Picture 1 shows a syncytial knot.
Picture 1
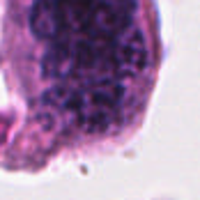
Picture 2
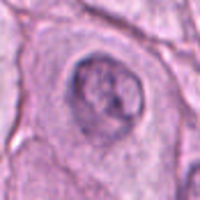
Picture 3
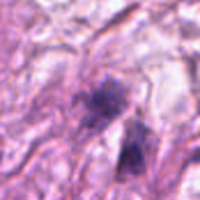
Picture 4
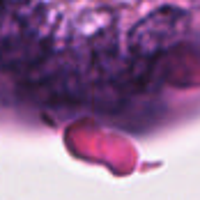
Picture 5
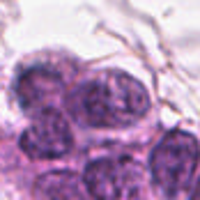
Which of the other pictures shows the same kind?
Picture 4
